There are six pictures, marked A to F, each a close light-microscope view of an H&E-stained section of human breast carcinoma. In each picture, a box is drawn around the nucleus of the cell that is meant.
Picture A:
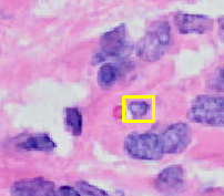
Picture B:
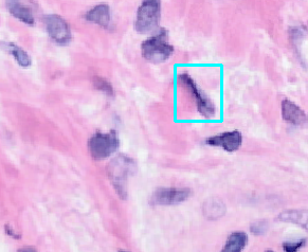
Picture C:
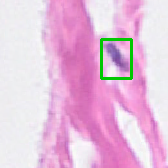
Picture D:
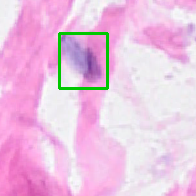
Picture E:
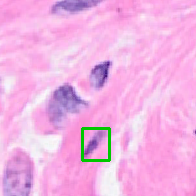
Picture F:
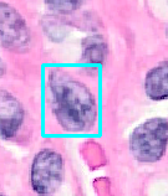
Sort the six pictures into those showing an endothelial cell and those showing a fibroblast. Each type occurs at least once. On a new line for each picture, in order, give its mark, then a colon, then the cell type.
A: endothelial cell
B: fibroblast
C: fibroblast
D: fibroblast
E: fibroblast
F: endothelial cell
